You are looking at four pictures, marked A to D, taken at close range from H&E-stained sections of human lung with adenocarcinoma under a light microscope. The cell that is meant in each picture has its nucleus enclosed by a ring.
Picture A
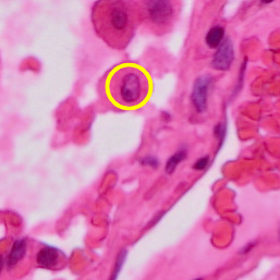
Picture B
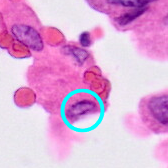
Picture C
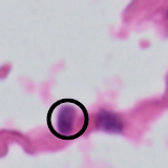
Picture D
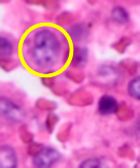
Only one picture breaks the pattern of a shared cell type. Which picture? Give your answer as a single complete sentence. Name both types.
All pictures except C show “macrophages or monocytes”; picture C shows a type I pneumocyte.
